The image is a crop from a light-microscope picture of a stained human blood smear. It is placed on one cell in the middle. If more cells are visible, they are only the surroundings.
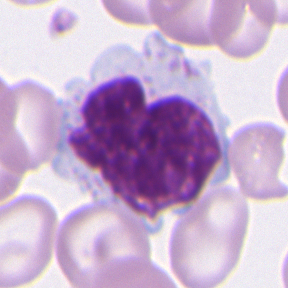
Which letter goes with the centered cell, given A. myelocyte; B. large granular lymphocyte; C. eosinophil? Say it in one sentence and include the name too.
What option B states is correct, the central cell being a large granular lymphocyte.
